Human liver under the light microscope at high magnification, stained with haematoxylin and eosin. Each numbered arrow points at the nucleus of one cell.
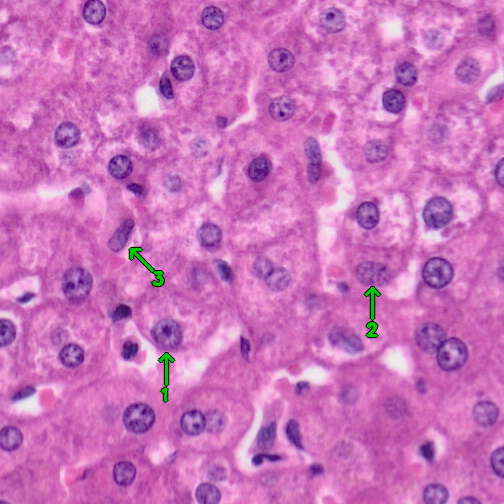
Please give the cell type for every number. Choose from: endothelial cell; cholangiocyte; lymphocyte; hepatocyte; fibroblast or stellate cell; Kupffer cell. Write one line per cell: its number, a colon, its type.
1: hepatocyte
2: hepatocyte
3: Kupffer cell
